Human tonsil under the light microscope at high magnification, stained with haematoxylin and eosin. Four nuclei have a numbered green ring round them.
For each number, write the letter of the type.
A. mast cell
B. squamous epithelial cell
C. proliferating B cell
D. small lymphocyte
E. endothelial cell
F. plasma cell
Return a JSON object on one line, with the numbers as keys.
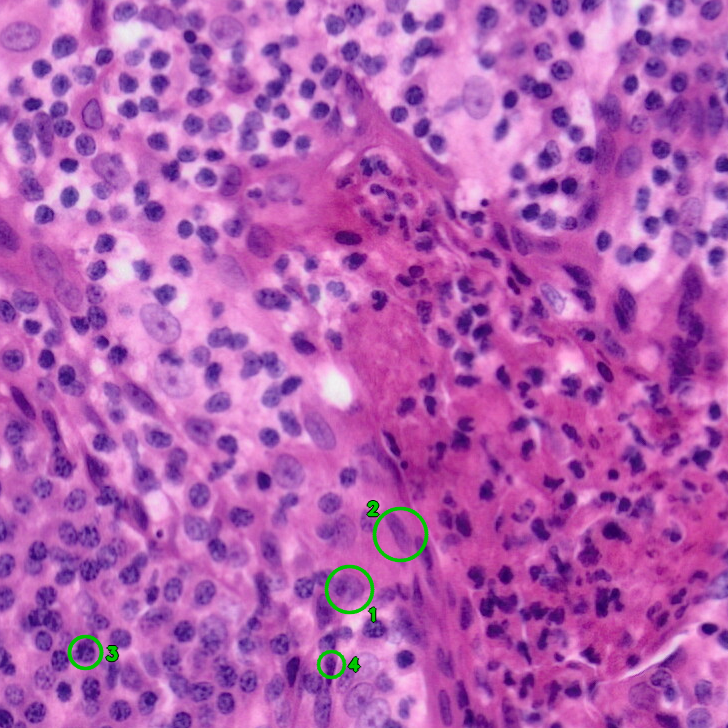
{"1": "B", "2": "B", "3": "F", "4": "B"}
